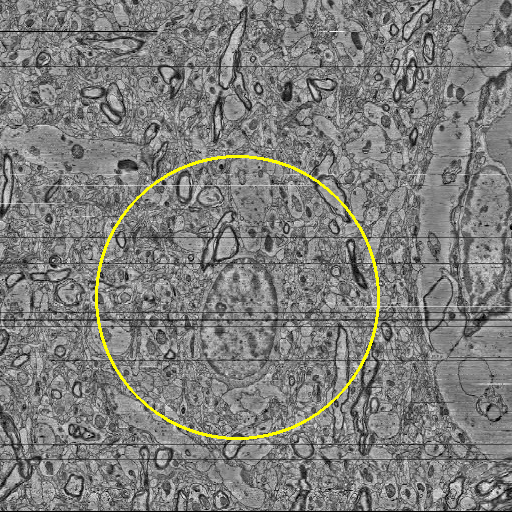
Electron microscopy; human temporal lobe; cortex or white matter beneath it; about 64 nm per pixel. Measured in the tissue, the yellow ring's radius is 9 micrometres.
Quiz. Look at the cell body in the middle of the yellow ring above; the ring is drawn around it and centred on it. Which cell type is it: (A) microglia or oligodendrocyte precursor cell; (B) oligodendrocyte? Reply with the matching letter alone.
B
